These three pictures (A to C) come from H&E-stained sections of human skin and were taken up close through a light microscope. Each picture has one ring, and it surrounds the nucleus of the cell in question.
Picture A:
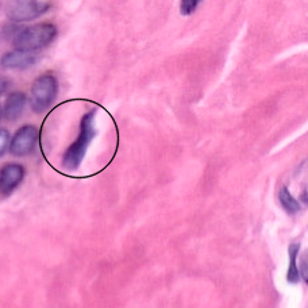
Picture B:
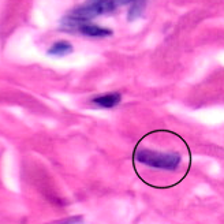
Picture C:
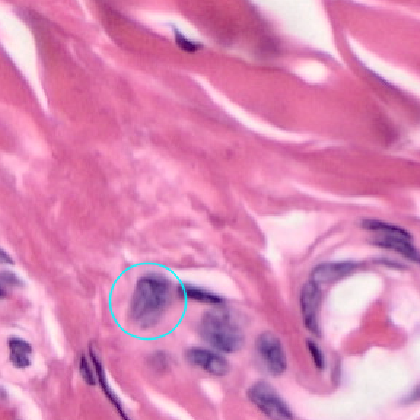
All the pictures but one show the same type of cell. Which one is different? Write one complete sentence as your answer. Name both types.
Picture C is the odd one out: it shows an endothelial cell, while the others show fibroblasts.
